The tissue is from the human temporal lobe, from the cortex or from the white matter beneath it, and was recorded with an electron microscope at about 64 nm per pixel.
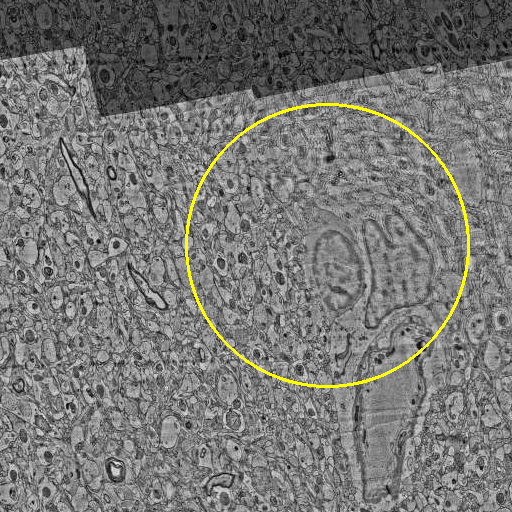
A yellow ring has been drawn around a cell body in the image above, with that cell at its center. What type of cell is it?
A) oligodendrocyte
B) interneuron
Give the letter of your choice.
A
